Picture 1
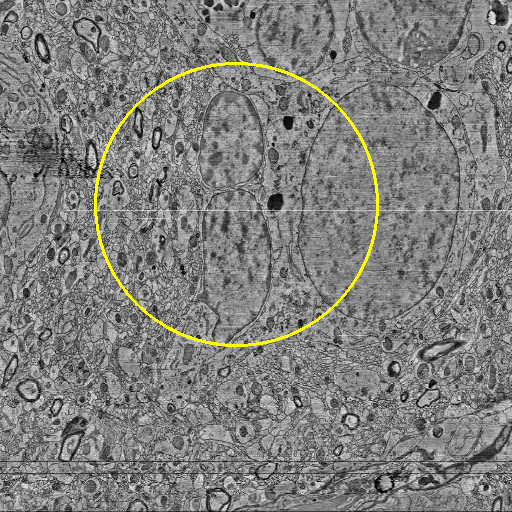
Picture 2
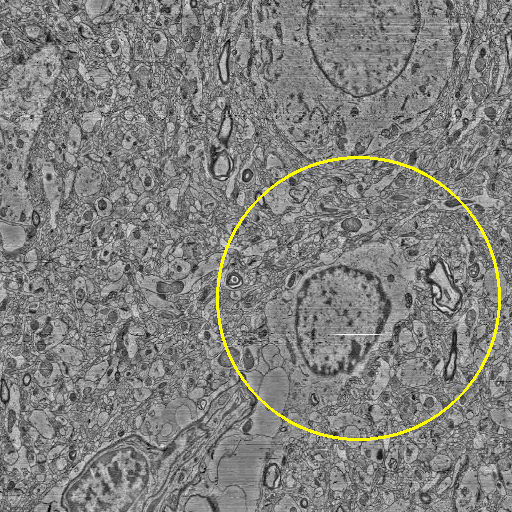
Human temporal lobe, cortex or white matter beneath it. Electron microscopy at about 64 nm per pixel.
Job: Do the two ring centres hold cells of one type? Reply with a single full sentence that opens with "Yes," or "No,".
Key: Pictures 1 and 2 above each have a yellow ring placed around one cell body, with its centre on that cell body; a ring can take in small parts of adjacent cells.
Yes, the cells at the two ring centres are of one single type.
